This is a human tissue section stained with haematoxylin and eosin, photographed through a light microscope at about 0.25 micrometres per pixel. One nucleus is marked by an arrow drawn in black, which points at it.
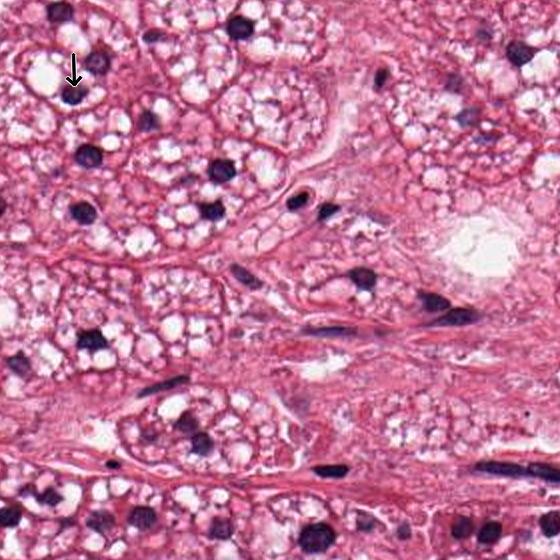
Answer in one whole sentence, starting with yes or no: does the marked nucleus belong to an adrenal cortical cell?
Yes, the marked nucleus is the nucleus belonging to an adrenal cortical cell.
